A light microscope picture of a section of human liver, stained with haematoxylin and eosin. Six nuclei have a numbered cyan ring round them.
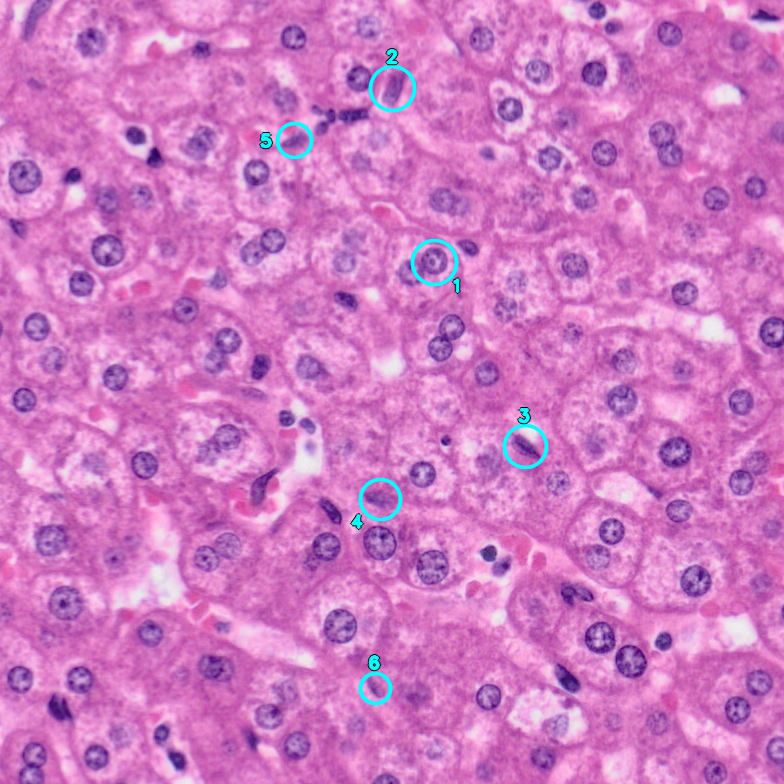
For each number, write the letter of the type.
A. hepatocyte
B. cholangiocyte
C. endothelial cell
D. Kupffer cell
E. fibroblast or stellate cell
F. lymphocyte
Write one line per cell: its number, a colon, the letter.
1: A
2: D
3: C
4: C
5: C
6: C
